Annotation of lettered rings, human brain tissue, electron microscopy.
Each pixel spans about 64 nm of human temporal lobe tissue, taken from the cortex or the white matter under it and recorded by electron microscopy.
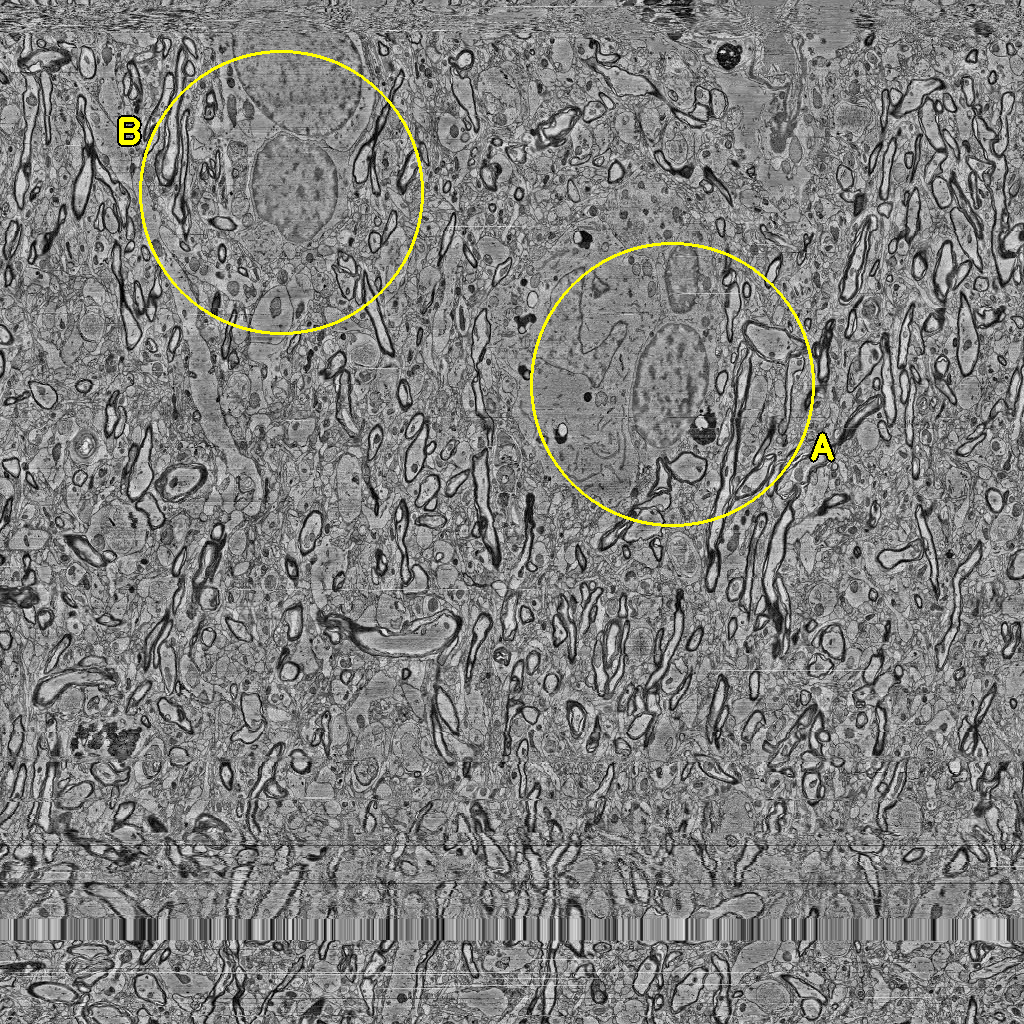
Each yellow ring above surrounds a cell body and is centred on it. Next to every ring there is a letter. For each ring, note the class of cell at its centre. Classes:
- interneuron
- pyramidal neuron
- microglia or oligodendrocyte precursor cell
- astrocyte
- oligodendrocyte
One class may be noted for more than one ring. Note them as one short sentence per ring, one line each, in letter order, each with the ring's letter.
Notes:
The class noted at ring A is an oligodendrocyte.
The class noted at ring B is an oligodendrocyte.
